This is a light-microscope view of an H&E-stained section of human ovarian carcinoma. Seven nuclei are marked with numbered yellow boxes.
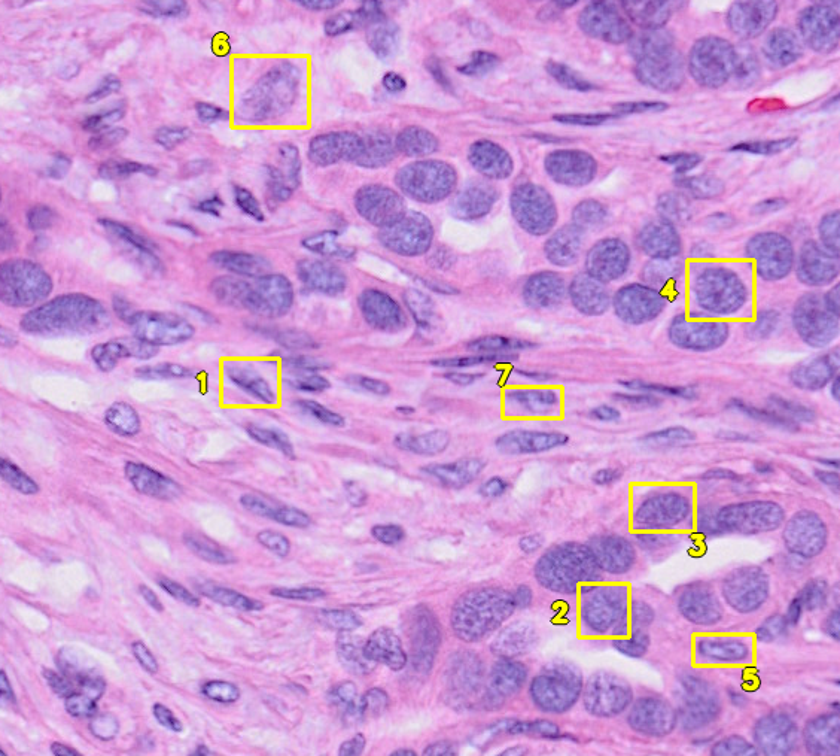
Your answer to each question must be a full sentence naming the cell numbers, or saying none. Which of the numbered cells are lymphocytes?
In short, lymphocytes do not occur among the numbered cells.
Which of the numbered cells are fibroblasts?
The cells to which the numbers 1, 5, 6 and 7 refer are fibroblasts.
